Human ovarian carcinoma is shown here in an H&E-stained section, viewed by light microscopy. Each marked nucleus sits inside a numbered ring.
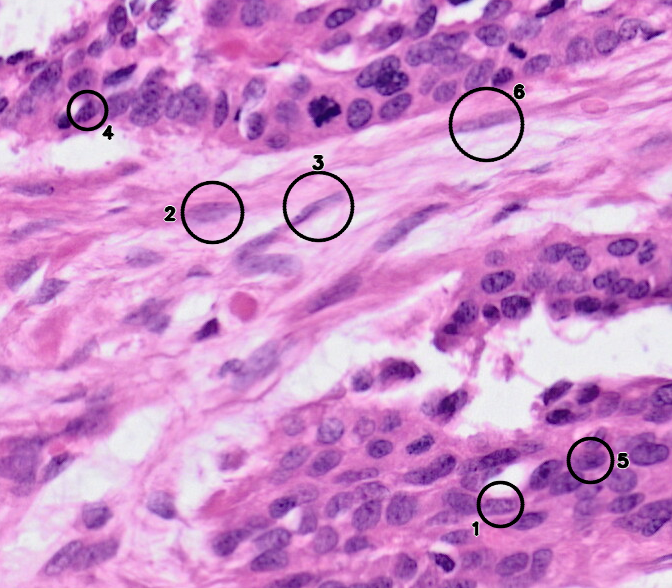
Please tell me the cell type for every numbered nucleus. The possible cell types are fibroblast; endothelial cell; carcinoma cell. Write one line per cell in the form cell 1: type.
cell 1: carcinoma cell
cell 2: fibroblast
cell 3: fibroblast
cell 4: carcinoma cell
cell 5: carcinoma cell
cell 6: fibroblast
